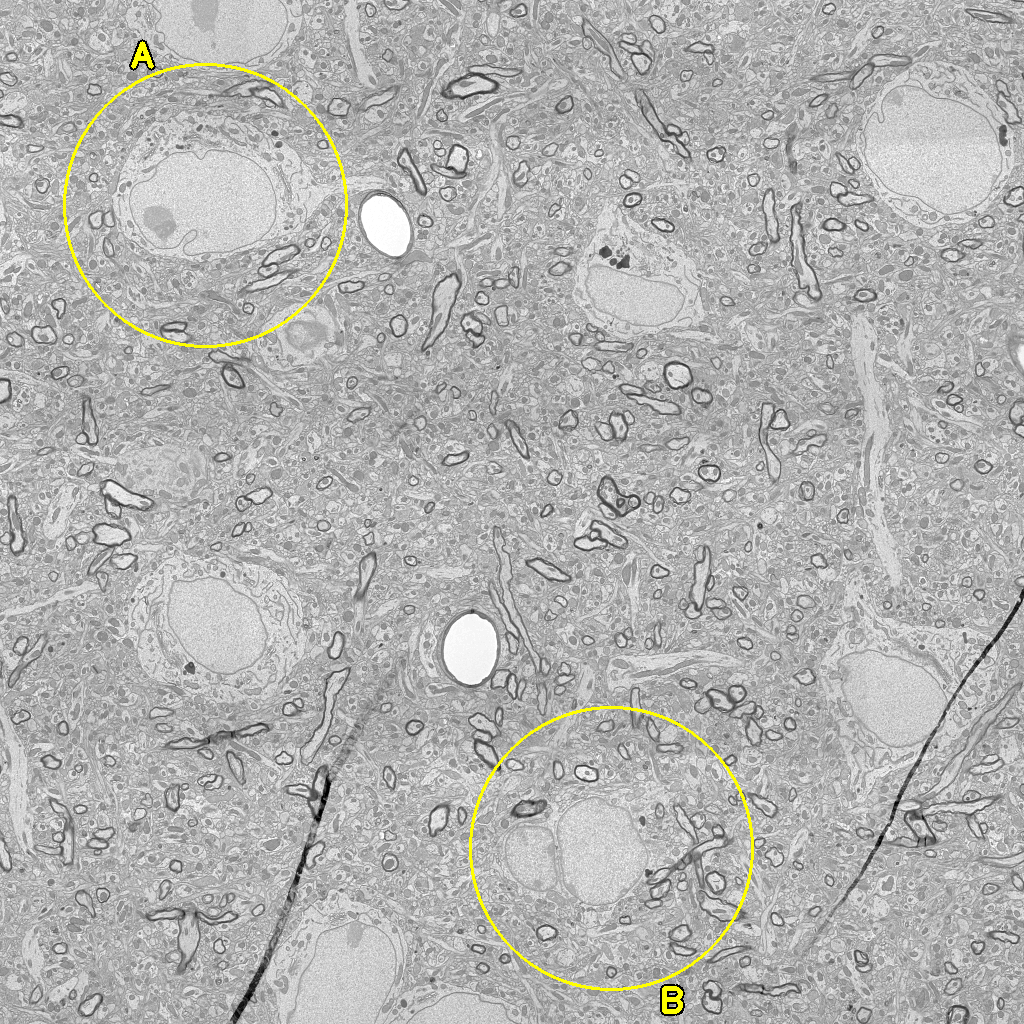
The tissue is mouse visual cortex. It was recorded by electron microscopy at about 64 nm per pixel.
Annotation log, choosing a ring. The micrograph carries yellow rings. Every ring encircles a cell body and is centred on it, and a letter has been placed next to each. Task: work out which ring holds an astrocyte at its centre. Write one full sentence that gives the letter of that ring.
In the micrograph, the ring centred on the cell asked for carries the letter B.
